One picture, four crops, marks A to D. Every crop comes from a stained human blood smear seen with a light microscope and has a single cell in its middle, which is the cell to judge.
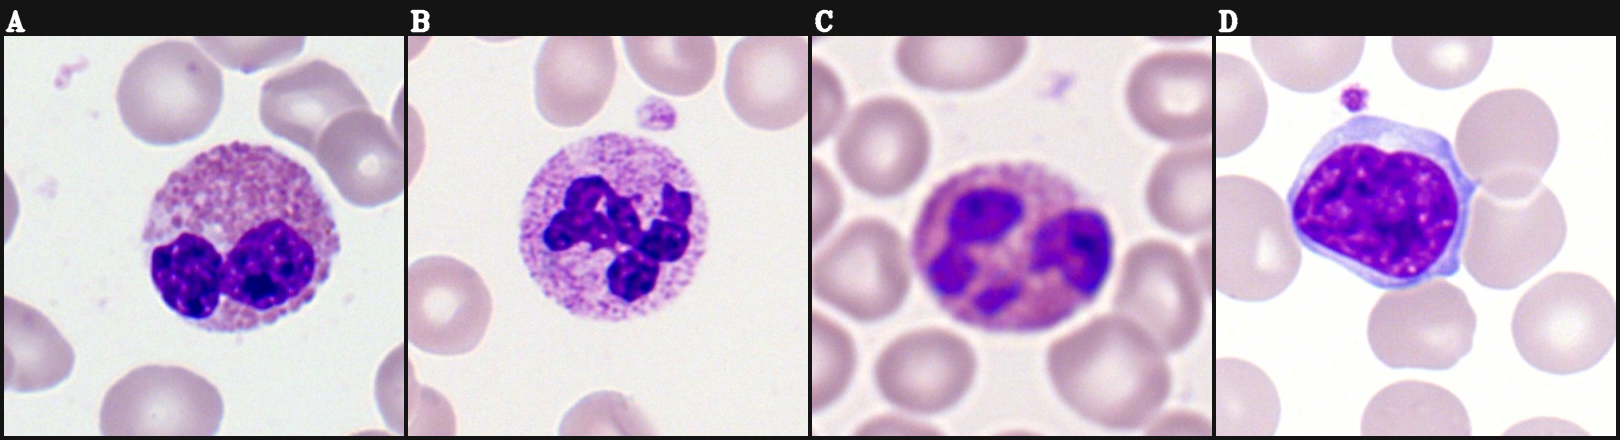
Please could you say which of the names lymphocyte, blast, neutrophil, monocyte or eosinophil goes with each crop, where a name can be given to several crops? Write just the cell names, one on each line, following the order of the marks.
eosinophil
neutrophil
eosinophil
lymphocyte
